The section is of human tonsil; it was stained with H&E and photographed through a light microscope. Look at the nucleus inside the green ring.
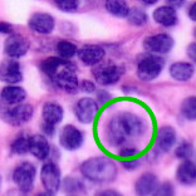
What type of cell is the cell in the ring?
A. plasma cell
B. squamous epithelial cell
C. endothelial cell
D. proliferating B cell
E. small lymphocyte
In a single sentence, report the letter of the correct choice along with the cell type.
The correct pick is option D; the cell in the ring is a proliferating B cell.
